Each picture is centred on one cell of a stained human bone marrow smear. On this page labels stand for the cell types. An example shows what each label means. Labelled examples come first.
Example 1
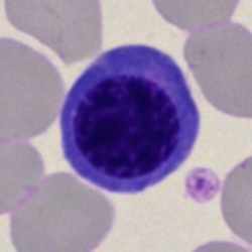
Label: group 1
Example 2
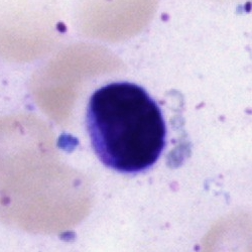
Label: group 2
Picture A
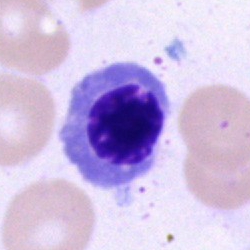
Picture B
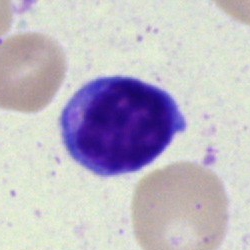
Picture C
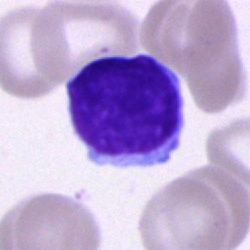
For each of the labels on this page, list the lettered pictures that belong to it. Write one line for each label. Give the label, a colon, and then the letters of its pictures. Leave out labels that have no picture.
group 1: A
group 2: B, C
